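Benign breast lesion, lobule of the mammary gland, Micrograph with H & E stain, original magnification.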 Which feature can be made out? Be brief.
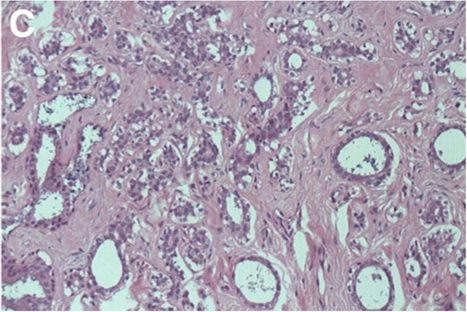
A: Extensive fibrous stroma.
